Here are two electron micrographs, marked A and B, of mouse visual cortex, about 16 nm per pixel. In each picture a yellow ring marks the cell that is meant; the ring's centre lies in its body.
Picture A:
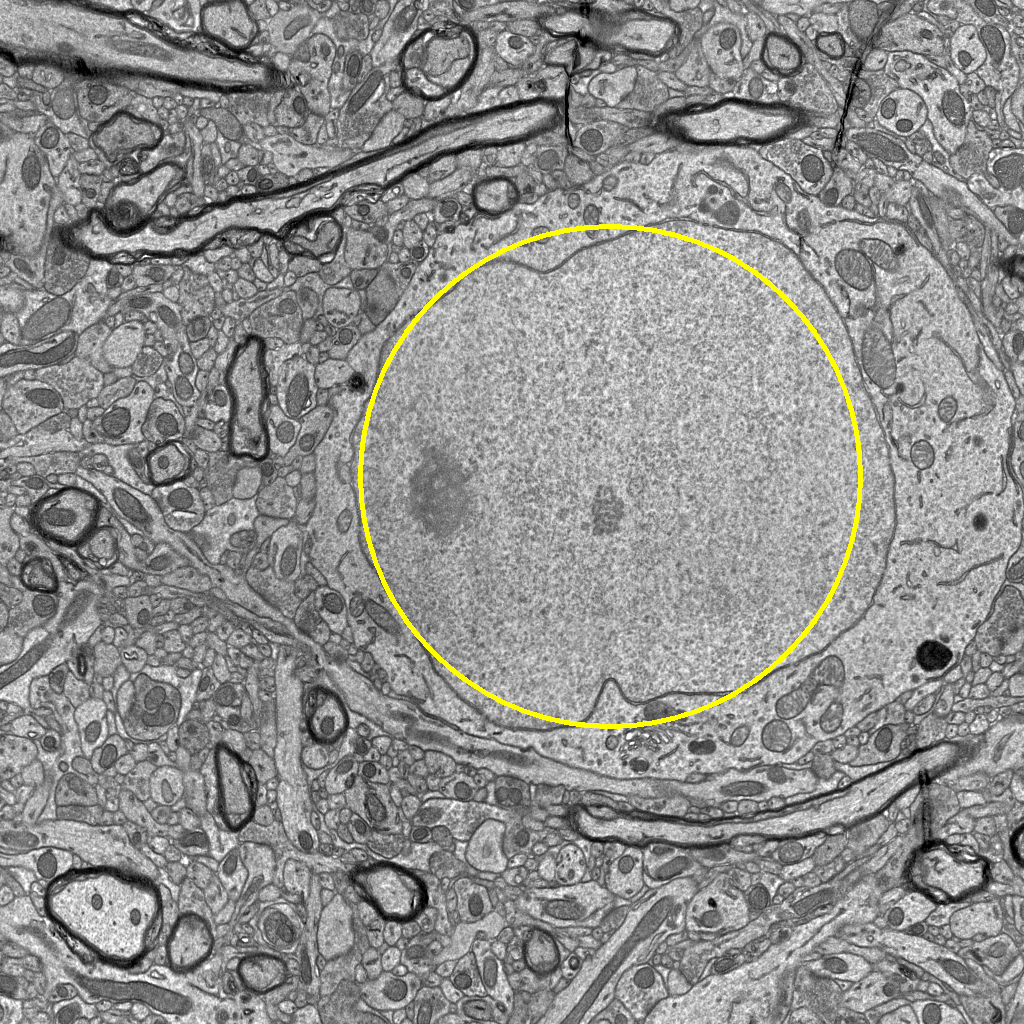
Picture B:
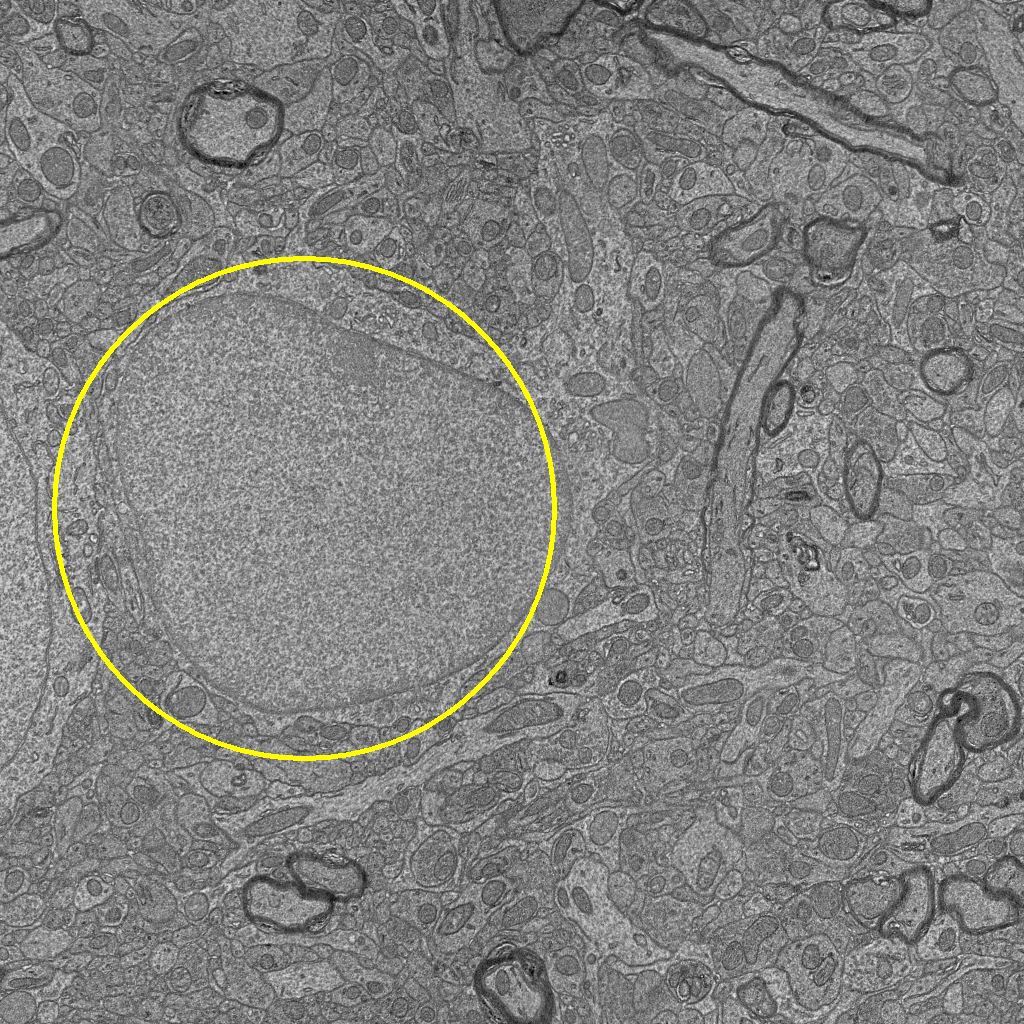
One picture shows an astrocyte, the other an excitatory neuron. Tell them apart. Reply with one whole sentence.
In picture A the cell is an excitatory neuron; in picture B, an astrocyte.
